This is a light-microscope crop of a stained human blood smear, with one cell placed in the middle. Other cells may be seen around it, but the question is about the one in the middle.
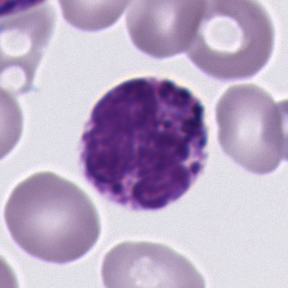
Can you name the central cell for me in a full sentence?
The cell sitting right in the middle is a basophil.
